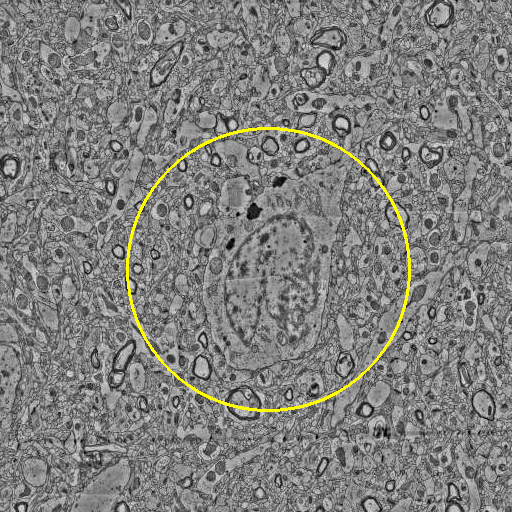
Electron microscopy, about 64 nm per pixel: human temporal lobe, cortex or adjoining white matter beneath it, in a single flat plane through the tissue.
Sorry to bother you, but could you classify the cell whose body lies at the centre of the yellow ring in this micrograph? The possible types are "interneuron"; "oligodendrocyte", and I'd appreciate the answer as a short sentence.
The ringed cell body is that of an interneuron.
